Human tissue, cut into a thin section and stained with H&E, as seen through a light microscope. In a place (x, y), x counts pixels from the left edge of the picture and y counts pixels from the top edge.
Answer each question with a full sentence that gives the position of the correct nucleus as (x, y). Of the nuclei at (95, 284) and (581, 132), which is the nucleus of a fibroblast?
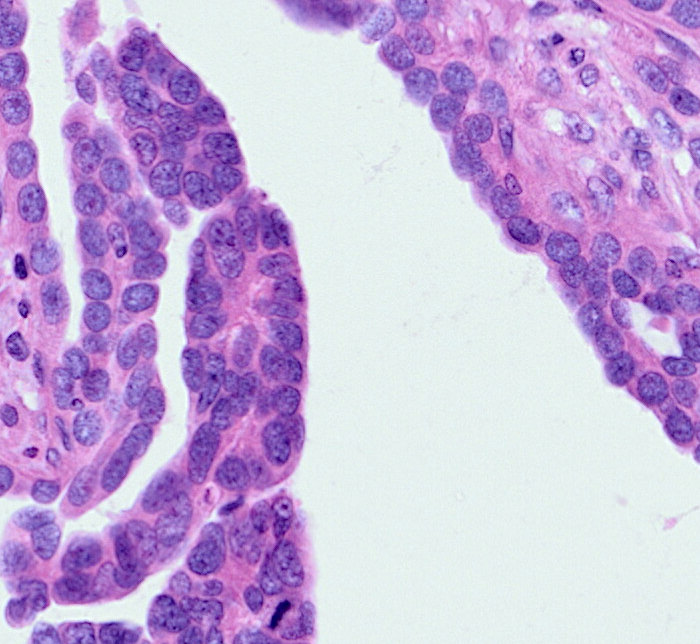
Among the two, the nucleus at (581, 132) is the nucleus of a fibroblast.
